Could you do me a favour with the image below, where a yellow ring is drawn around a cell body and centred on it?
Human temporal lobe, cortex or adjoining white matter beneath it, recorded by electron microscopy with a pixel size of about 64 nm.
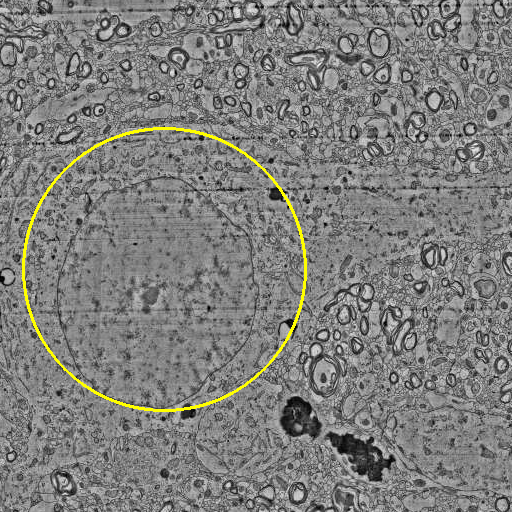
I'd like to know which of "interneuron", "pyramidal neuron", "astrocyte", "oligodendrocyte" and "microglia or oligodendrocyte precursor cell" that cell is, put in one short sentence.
The cell at the ring's centre is a pyramidal neuron.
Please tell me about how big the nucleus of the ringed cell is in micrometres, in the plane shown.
In this plane the nucleus spans approximately 15 by 13 micrometers.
